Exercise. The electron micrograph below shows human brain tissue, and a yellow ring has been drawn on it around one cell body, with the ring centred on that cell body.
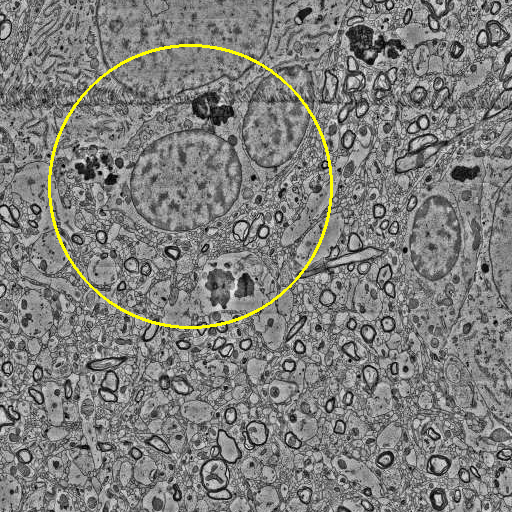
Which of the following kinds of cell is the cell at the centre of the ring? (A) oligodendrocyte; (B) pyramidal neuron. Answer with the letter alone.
A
